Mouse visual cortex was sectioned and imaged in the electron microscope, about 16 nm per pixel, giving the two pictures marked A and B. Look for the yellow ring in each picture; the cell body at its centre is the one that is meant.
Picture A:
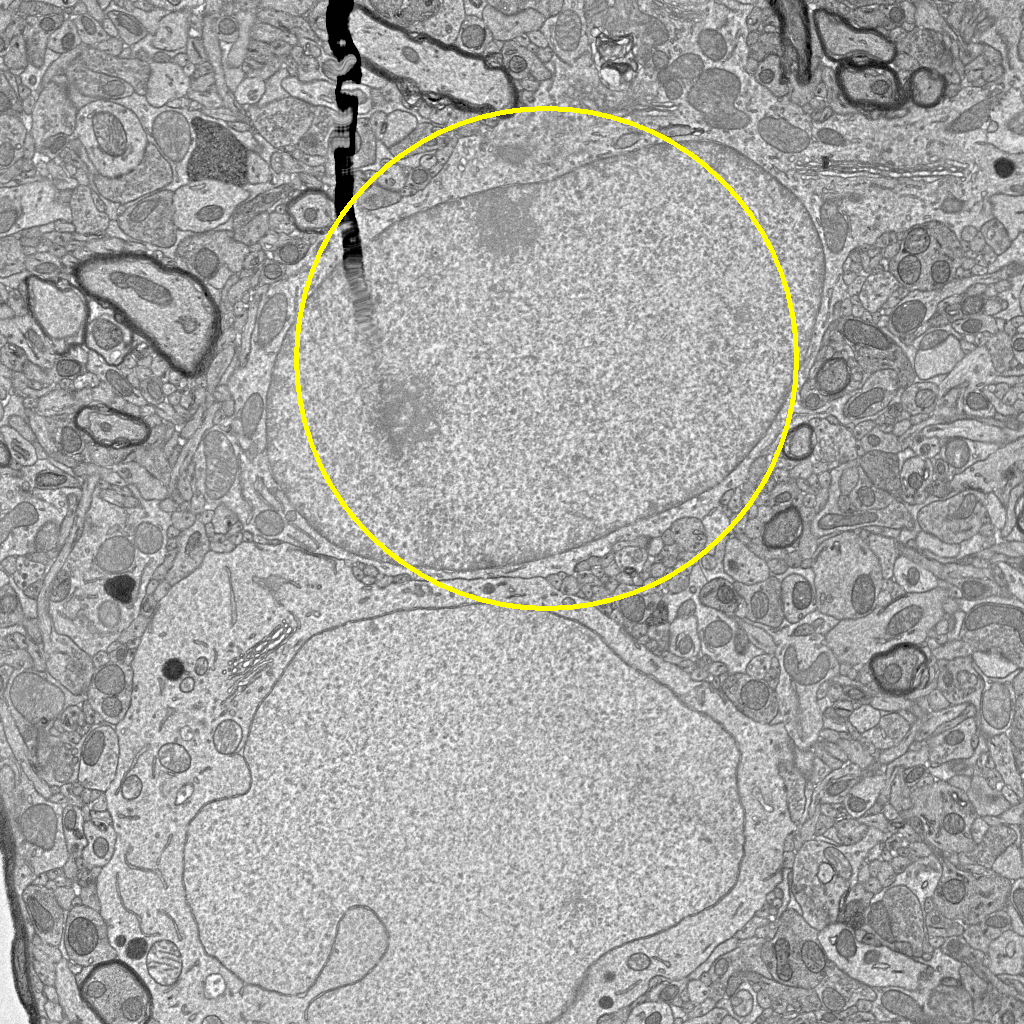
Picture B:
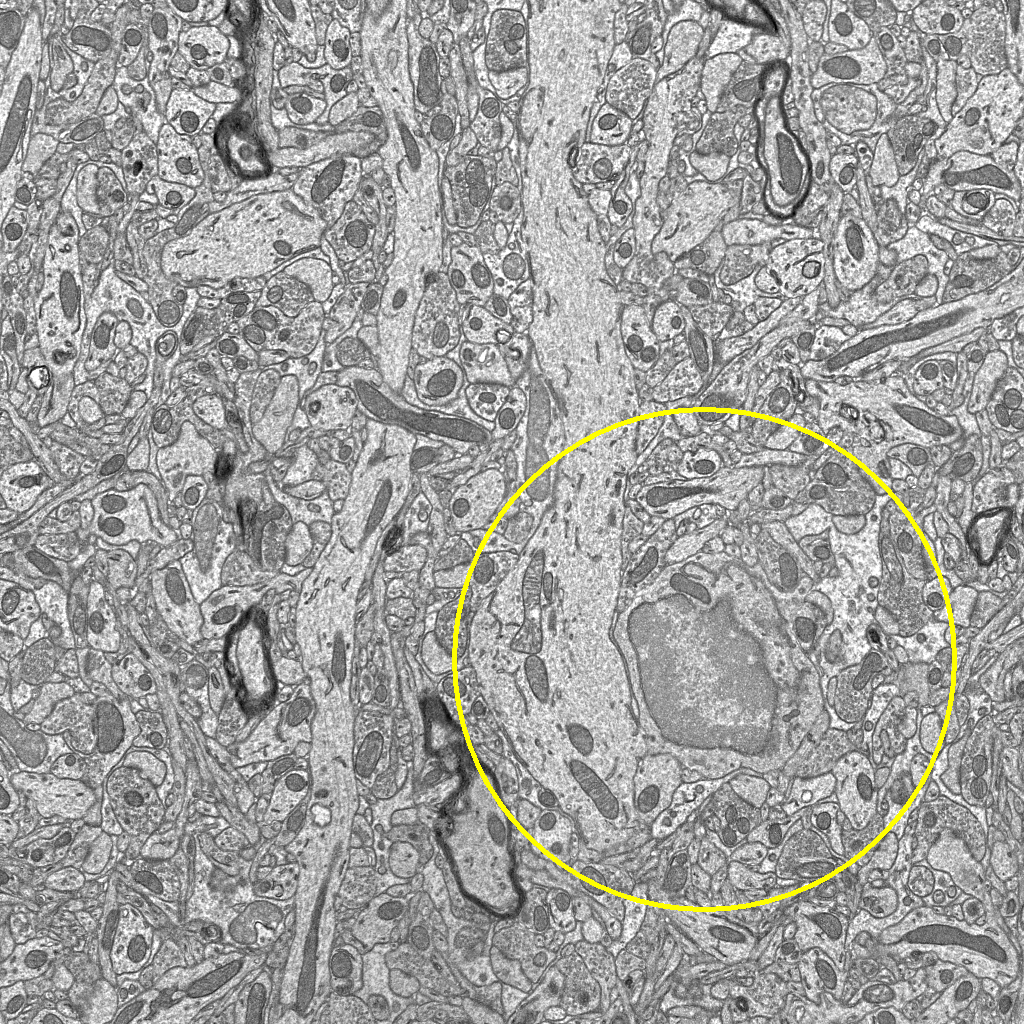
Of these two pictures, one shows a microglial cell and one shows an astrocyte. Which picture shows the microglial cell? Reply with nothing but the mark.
B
